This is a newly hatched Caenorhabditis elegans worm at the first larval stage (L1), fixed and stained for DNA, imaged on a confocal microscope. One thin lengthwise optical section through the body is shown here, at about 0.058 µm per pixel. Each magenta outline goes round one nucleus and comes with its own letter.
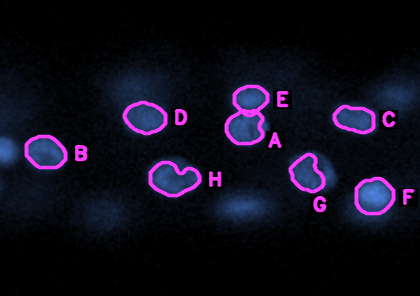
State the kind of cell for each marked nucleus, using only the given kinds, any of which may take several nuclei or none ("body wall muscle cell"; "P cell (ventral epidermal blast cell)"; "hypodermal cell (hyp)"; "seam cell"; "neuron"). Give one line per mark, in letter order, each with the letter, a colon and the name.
A: seam cell
B: seam cell
C: P cell (ventral epidermal blast cell)
D: P cell (ventral epidermal blast cell)
E: body wall muscle cell
F: neuron
G: hypodermal cell (hyp)
H: hypodermal cell (hyp)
